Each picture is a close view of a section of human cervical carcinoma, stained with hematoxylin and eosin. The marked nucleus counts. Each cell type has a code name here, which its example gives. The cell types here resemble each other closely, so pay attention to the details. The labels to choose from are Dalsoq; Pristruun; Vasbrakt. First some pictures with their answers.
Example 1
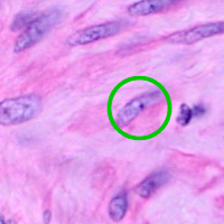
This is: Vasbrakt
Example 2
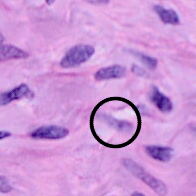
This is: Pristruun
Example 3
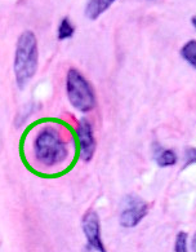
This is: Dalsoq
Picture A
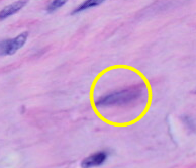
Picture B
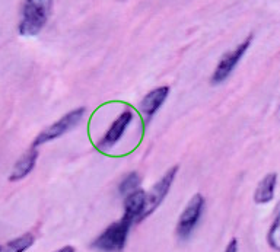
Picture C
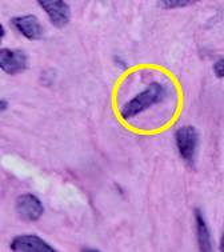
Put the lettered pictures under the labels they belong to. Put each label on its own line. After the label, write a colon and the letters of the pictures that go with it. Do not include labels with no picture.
Pristruun: B, C
Vasbrakt: A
